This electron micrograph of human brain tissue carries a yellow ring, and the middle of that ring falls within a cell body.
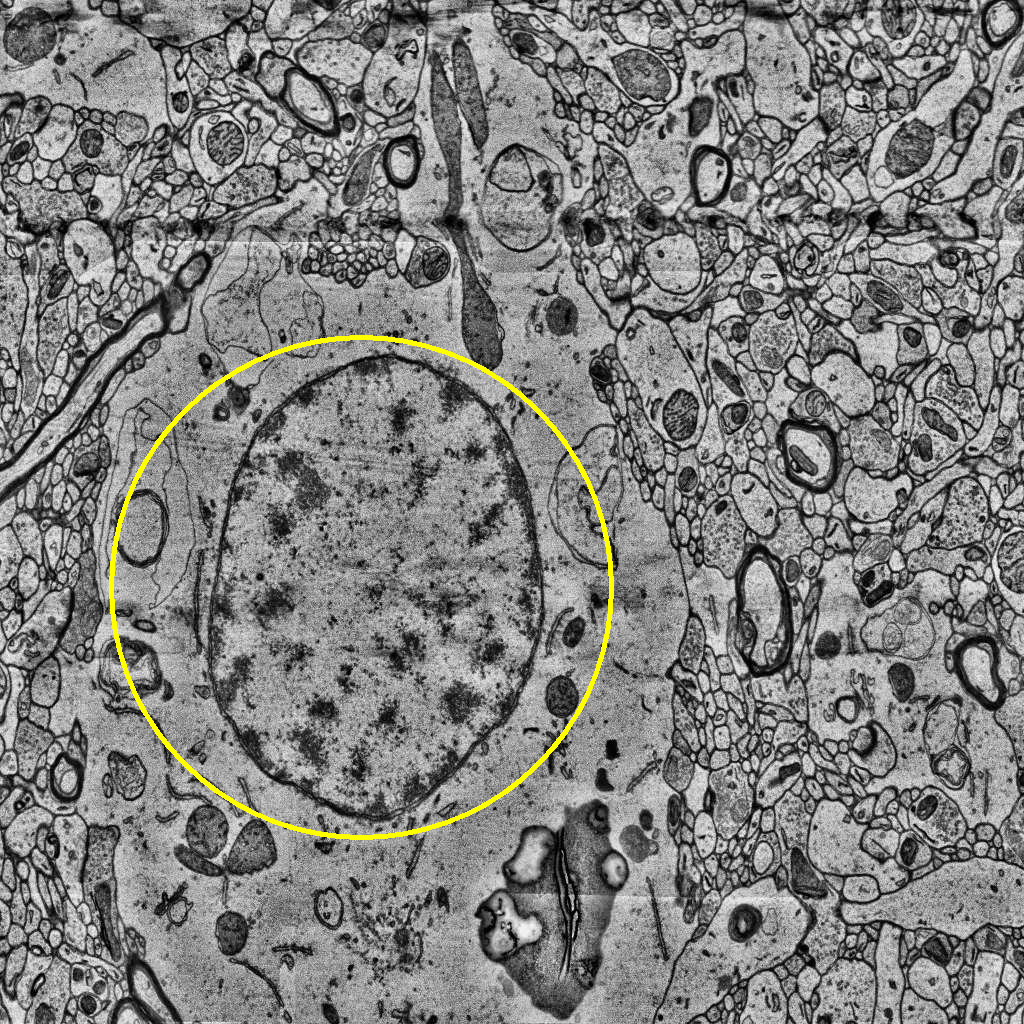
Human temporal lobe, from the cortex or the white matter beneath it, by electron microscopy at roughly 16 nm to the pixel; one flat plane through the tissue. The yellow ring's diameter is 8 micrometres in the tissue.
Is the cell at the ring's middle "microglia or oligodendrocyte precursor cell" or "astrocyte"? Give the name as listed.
astrocyte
